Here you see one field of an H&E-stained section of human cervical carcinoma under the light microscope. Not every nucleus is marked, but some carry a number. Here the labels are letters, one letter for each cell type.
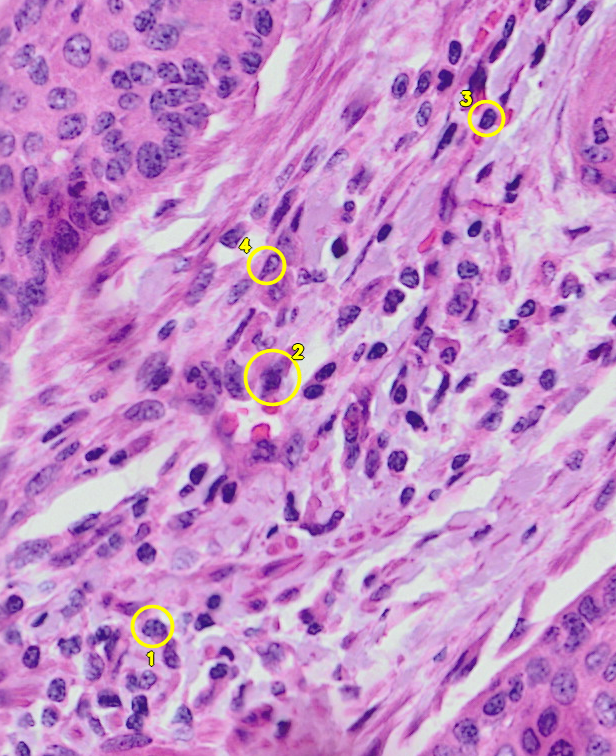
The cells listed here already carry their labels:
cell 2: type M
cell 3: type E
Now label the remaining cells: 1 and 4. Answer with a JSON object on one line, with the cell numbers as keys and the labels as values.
{"1": "type E", "4": "type M"}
